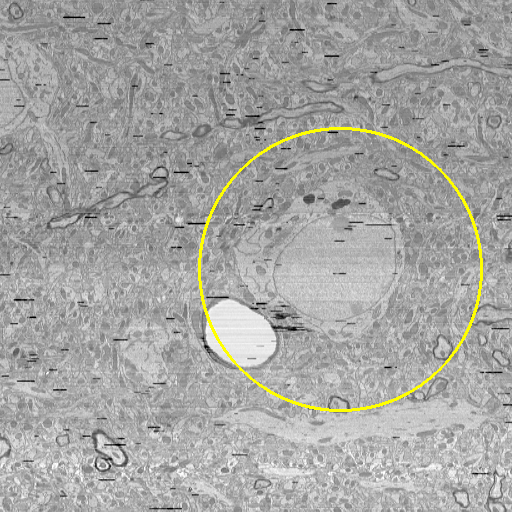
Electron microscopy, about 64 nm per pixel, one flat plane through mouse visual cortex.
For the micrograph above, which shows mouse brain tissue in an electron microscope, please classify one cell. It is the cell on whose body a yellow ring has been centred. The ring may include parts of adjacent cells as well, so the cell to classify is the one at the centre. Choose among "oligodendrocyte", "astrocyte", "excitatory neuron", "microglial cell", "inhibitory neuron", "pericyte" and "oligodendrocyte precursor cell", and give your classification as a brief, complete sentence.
I classify this cell as an excitatory neuron.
